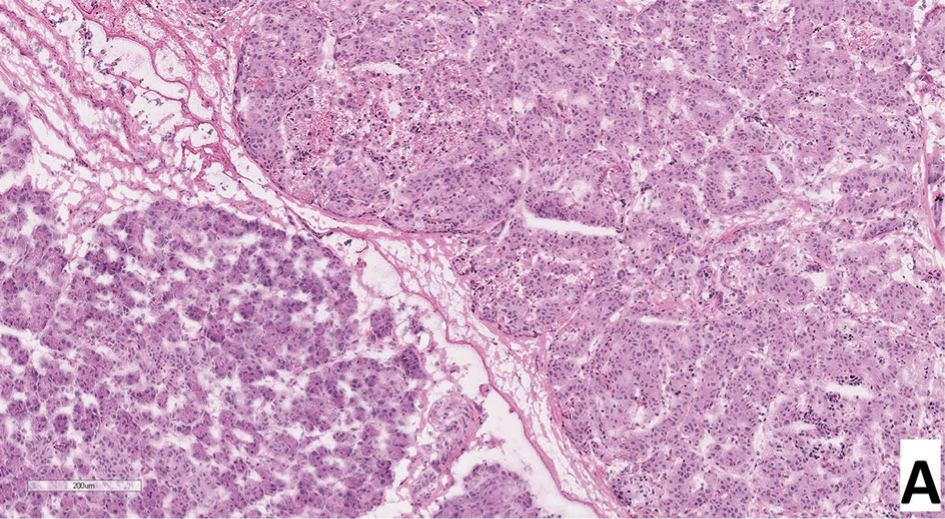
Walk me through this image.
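This is pancreas, and the picture is divided into two unlike regions. On the right lies a large nodule of pale pink cells arranged in nests, cords and trabeculae, separated by thin vessels and slit-like spaces; these endocrine cells have fairly abundant pale cytoplasm and rounded nuclei, some of them large. A thin band of loose, wispy connective tissue with fat runs diagonally and separates this nodule from the tissue on the left. On the left is ordinary pancreatic lobule, where small glandular clusters of cells with deep purple cytoplasm are packed closely together, looking darker and more granular than the nodule beside it.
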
